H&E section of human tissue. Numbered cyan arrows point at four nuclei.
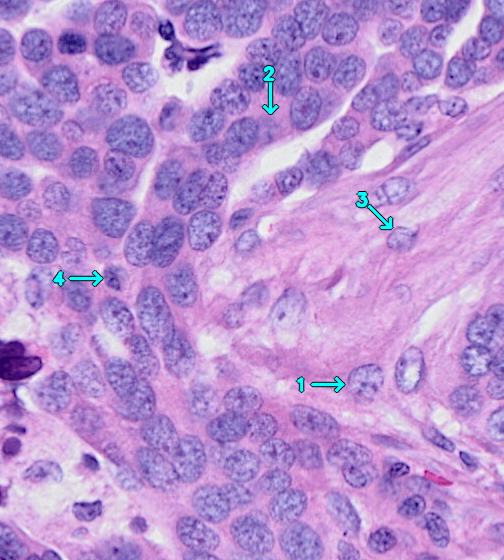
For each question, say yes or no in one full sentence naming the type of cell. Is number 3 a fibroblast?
Yes, the numbered nucleus 3 is that of a fibroblast.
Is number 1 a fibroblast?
Yes, the cell numbered 1 in this tissue is a fibroblast.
